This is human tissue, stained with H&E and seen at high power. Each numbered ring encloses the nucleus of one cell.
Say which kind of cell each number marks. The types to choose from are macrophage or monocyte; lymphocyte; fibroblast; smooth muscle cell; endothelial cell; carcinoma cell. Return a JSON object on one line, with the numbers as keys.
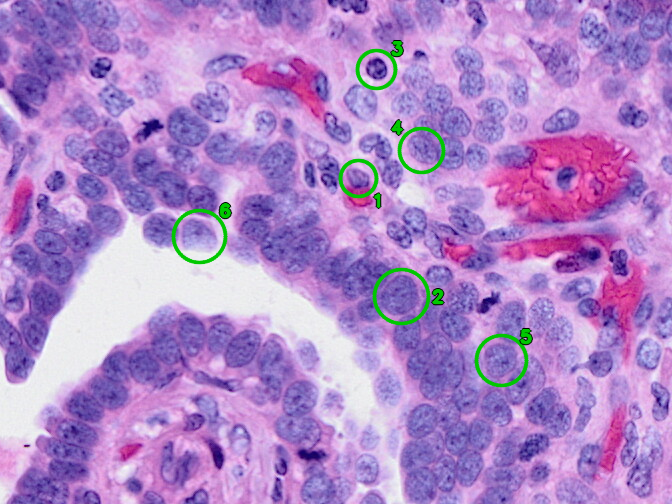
{"1": "endothelial cell", "2": "carcinoma cell", "3": "lymphocyte", "4": "carcinoma cell", "5": "carcinoma cell", "6": "carcinoma cell"}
